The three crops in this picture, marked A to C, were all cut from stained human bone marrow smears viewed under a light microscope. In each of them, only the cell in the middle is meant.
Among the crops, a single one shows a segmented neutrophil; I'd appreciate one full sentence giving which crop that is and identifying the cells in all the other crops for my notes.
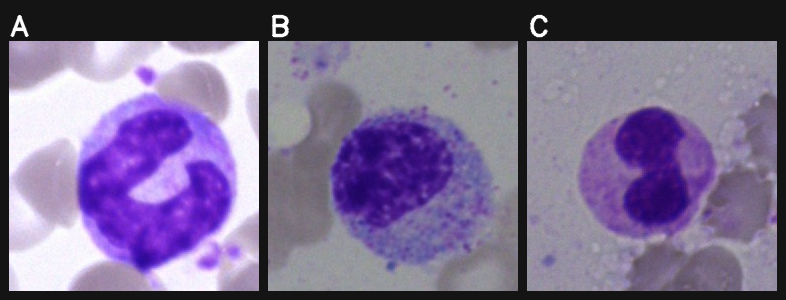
There is a segmented neutrophil in crop C, while crop A is a monocyte and crop B is a myelocyte.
